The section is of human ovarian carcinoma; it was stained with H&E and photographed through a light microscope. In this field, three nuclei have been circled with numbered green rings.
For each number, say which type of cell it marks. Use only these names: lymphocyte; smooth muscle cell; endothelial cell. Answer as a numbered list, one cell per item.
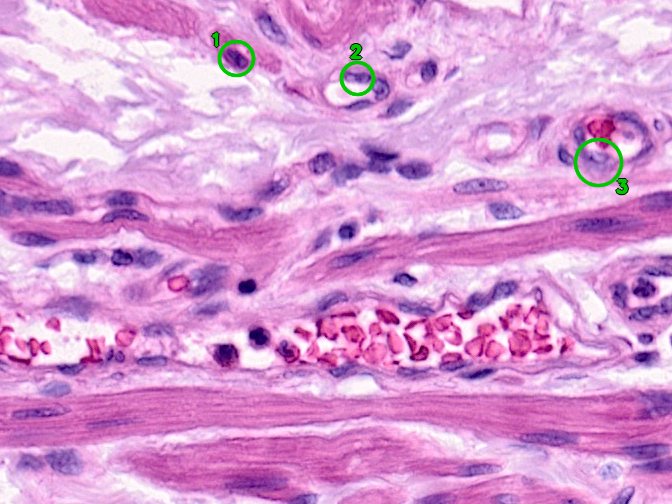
1. smooth muscle cell
2. endothelial cell
3. endothelial cell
